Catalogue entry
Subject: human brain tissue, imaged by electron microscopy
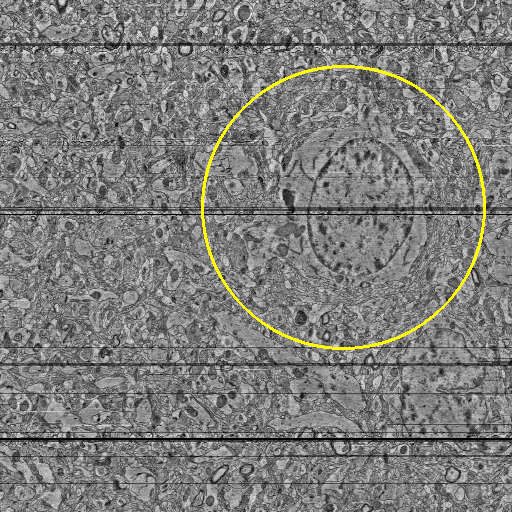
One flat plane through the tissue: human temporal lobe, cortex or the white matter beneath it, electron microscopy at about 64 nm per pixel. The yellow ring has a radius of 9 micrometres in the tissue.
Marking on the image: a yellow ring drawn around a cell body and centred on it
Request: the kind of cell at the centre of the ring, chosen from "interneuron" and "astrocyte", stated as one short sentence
The ring has an astrocyte at its centre.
